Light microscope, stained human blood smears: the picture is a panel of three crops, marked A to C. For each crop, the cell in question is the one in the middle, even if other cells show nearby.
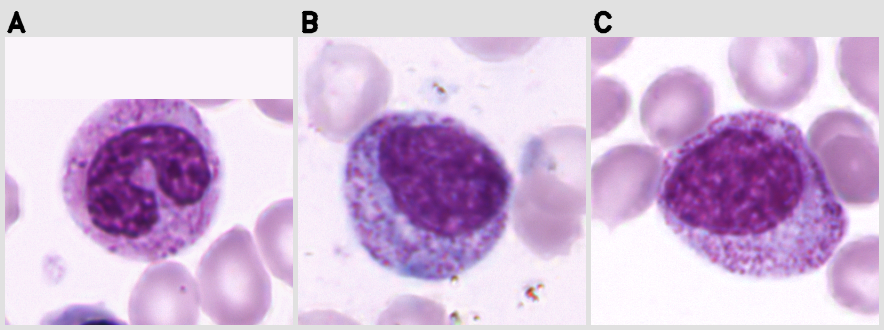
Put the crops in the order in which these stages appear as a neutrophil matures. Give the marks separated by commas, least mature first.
B, C, A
